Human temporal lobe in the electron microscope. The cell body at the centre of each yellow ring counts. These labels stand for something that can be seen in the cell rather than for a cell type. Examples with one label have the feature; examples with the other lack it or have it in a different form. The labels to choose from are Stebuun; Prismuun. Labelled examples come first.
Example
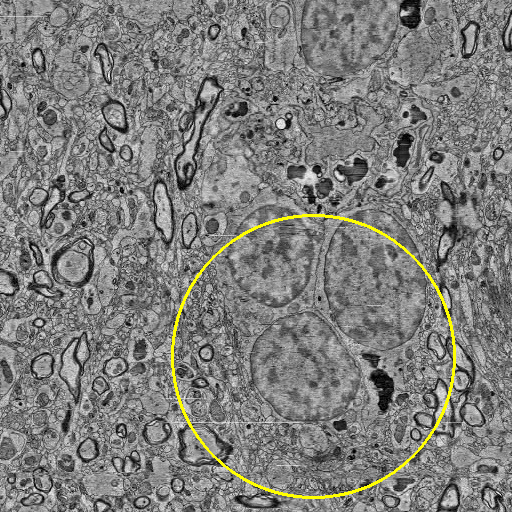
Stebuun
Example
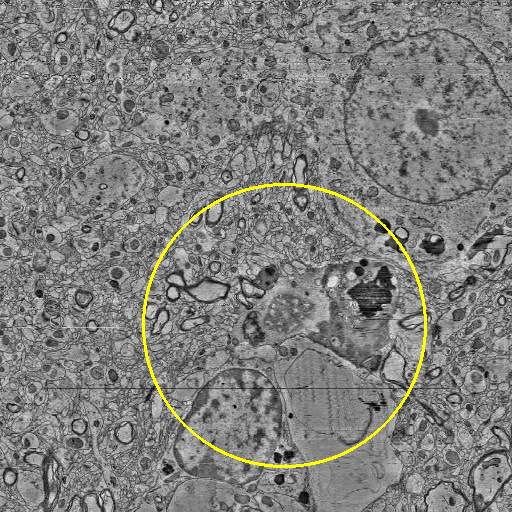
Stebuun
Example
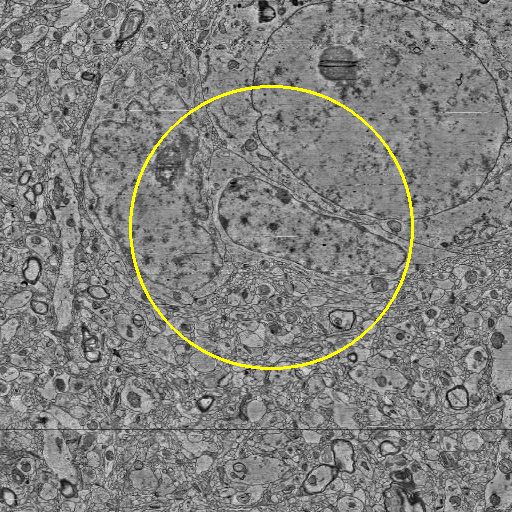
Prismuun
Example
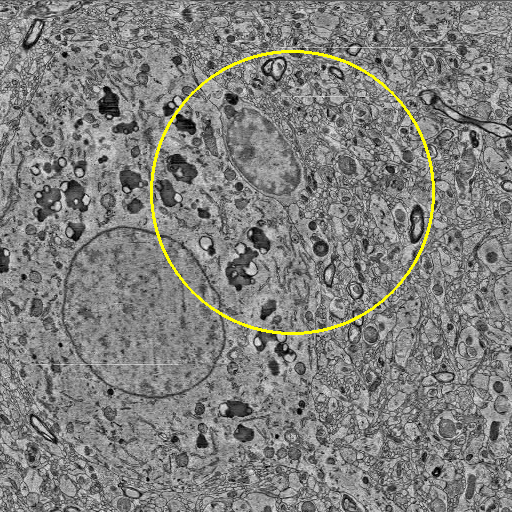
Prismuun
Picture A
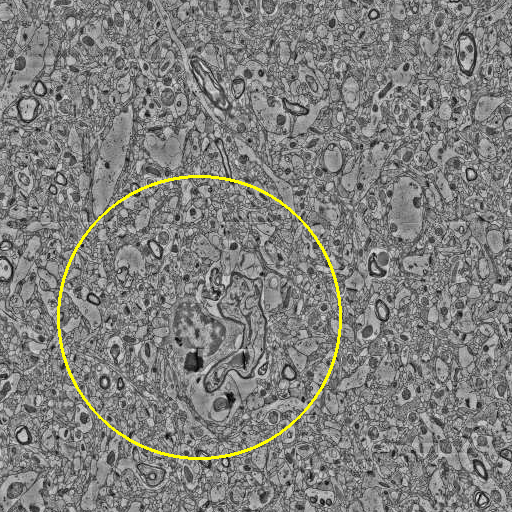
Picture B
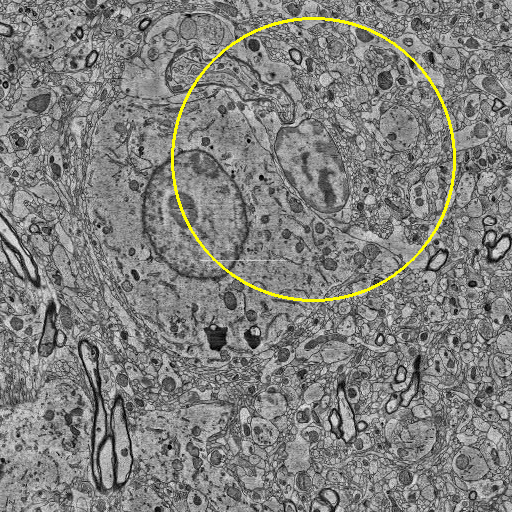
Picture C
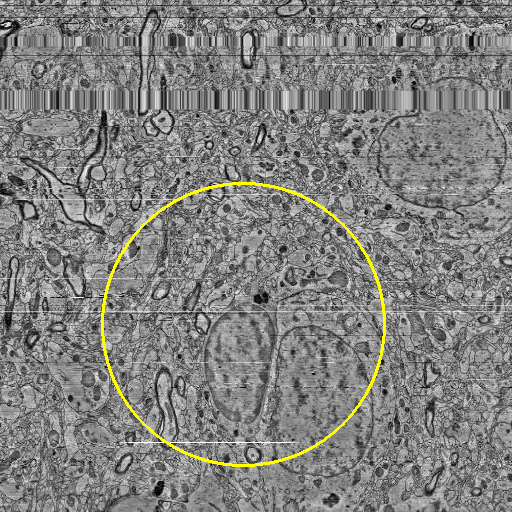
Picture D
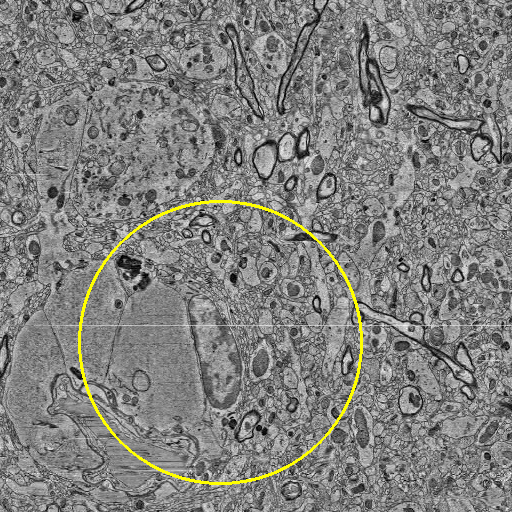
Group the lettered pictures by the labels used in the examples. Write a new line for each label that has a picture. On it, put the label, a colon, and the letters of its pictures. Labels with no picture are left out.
Stebuun: A
Prismuun: B, C, D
